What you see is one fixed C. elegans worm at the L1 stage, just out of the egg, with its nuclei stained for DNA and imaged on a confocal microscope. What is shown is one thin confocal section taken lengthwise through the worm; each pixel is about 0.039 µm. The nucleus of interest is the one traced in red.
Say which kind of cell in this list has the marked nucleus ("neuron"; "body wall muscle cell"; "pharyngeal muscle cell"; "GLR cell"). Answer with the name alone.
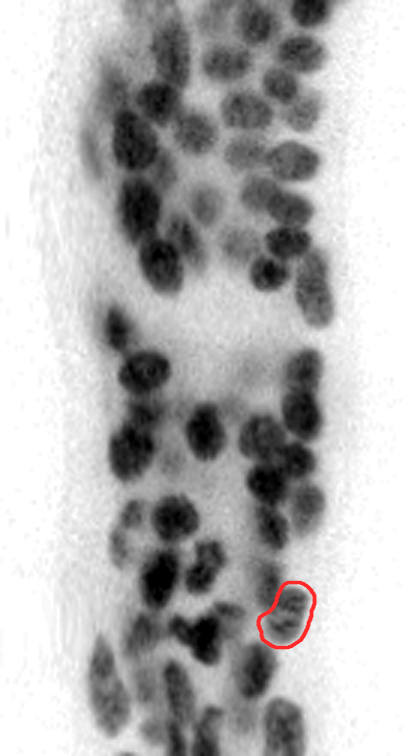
body wall muscle cell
